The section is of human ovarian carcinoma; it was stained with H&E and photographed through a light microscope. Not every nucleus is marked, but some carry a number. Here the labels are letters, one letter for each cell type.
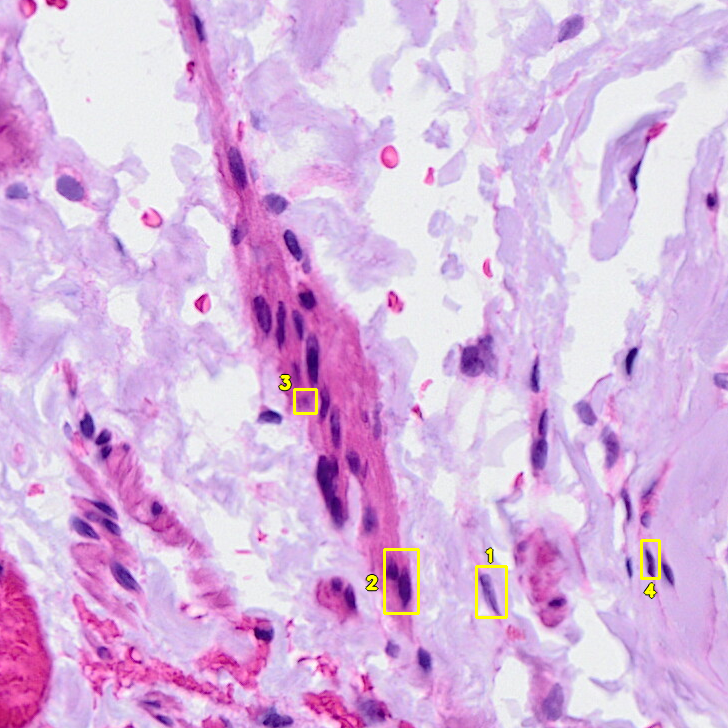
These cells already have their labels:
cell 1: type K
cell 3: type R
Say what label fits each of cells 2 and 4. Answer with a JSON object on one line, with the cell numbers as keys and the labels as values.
{"2": "type R", "4": "type K"}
